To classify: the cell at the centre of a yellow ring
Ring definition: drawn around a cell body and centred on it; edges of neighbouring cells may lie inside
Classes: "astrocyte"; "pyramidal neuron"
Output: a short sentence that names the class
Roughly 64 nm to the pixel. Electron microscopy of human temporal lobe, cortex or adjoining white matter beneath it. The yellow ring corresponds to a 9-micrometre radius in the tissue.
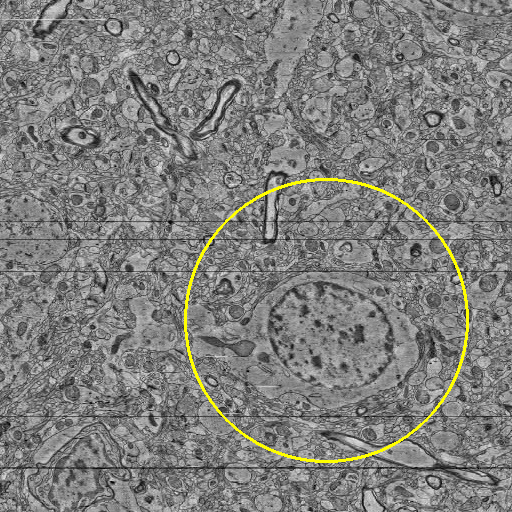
The ringed cell is an astrocyte.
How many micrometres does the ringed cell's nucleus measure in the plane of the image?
The nucleus appears roughly 8 by 7 micrometres in this plane.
